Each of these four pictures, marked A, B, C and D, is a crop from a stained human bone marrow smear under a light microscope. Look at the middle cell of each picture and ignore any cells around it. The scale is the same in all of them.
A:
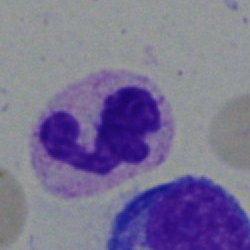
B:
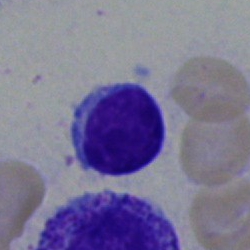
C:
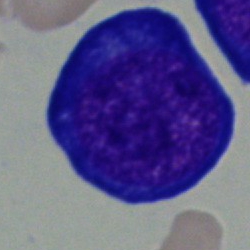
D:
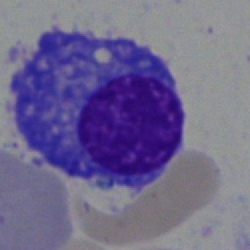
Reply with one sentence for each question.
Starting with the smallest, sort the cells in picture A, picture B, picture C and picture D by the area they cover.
The order is B, A, D, C, beginning with the smallest.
